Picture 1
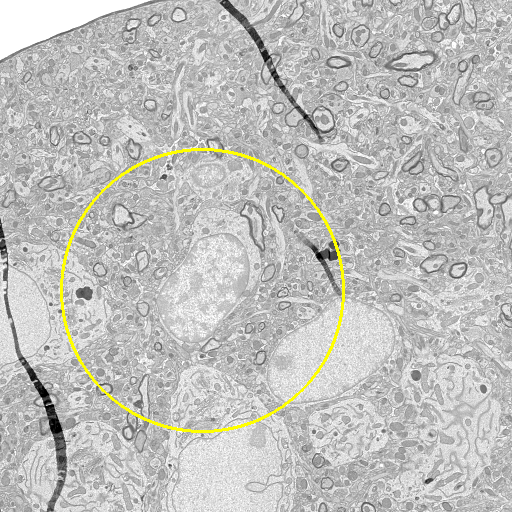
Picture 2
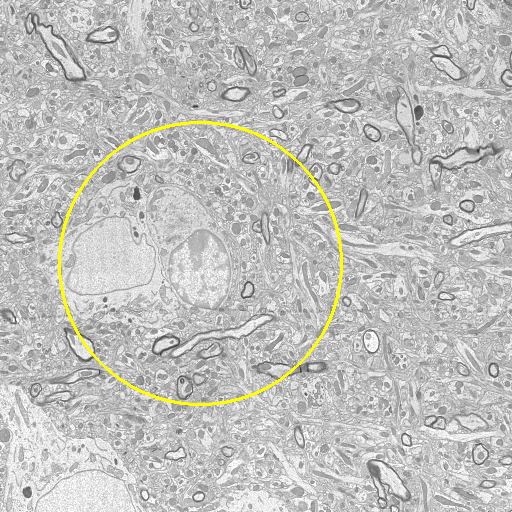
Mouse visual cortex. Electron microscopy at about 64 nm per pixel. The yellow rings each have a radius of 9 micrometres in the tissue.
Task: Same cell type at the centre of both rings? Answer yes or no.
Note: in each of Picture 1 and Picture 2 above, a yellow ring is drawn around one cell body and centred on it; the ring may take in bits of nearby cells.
yes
